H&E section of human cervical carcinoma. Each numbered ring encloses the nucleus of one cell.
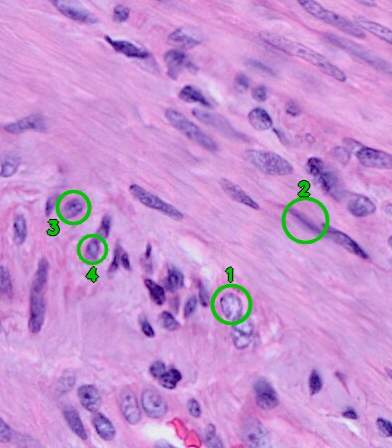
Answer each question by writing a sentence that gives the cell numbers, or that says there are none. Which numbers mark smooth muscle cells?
The identity of cells 3 and 4: they are smooth muscle cells.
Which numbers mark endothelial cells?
It is only cell 1 that is an endothelial cell among the numbered cells.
